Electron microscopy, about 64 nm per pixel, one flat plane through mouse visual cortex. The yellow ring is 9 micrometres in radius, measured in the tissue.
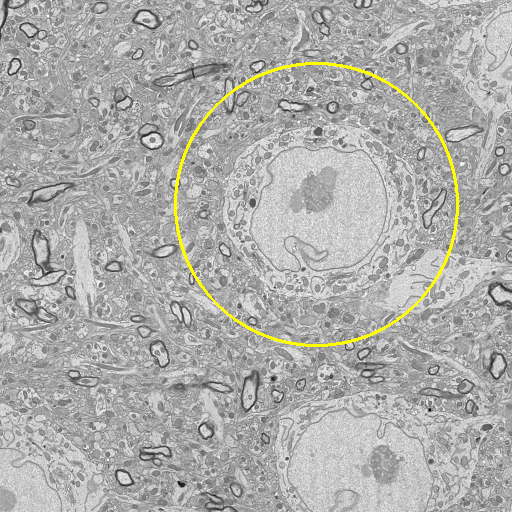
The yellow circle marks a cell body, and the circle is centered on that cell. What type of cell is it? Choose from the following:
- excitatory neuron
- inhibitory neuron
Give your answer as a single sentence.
This cell body belongs to an inhibitory neuron.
